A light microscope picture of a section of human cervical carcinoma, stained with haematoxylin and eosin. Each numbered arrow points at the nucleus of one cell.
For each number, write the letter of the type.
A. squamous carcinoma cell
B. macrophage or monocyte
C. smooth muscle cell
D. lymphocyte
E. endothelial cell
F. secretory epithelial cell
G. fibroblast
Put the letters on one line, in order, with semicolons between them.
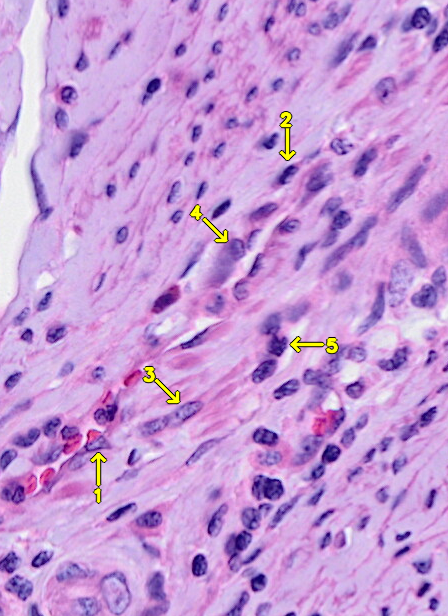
E; D; C; E; D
